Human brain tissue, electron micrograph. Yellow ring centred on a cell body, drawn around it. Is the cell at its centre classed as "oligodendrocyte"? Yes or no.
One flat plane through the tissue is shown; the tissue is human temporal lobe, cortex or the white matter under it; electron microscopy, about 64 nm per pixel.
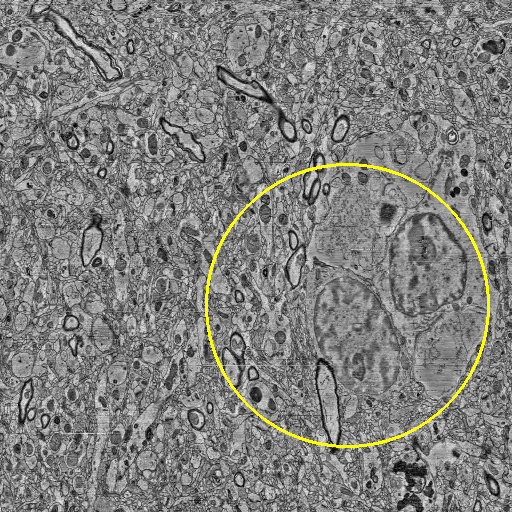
Yes, it is classed as that.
